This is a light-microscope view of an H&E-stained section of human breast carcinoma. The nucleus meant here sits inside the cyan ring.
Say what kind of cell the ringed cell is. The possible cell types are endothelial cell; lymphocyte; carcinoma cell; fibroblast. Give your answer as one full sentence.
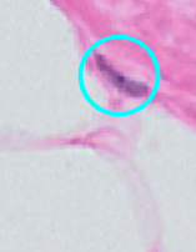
In this preparation, the ringed cell is a fibroblast.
